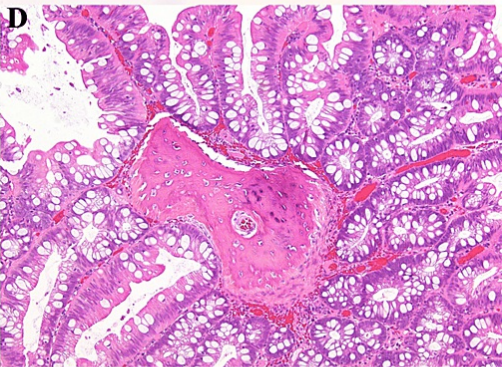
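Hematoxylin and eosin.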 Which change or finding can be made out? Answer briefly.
Osseous metaplasia.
